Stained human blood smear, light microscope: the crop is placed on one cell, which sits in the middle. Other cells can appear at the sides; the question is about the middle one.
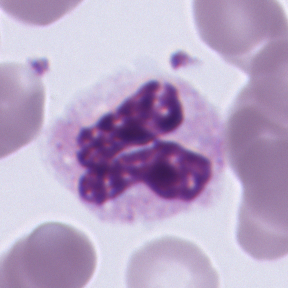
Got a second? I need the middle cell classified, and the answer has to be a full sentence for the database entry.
Among the cells in view, the one in the middle is a neutrophil.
